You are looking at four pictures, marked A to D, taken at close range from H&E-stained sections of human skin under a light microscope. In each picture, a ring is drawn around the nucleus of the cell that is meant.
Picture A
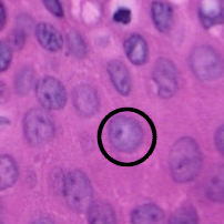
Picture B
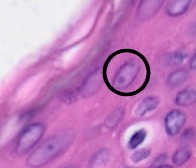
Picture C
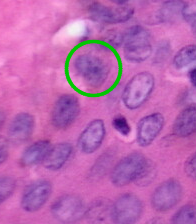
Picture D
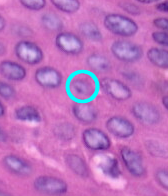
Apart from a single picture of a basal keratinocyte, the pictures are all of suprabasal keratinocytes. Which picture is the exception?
C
